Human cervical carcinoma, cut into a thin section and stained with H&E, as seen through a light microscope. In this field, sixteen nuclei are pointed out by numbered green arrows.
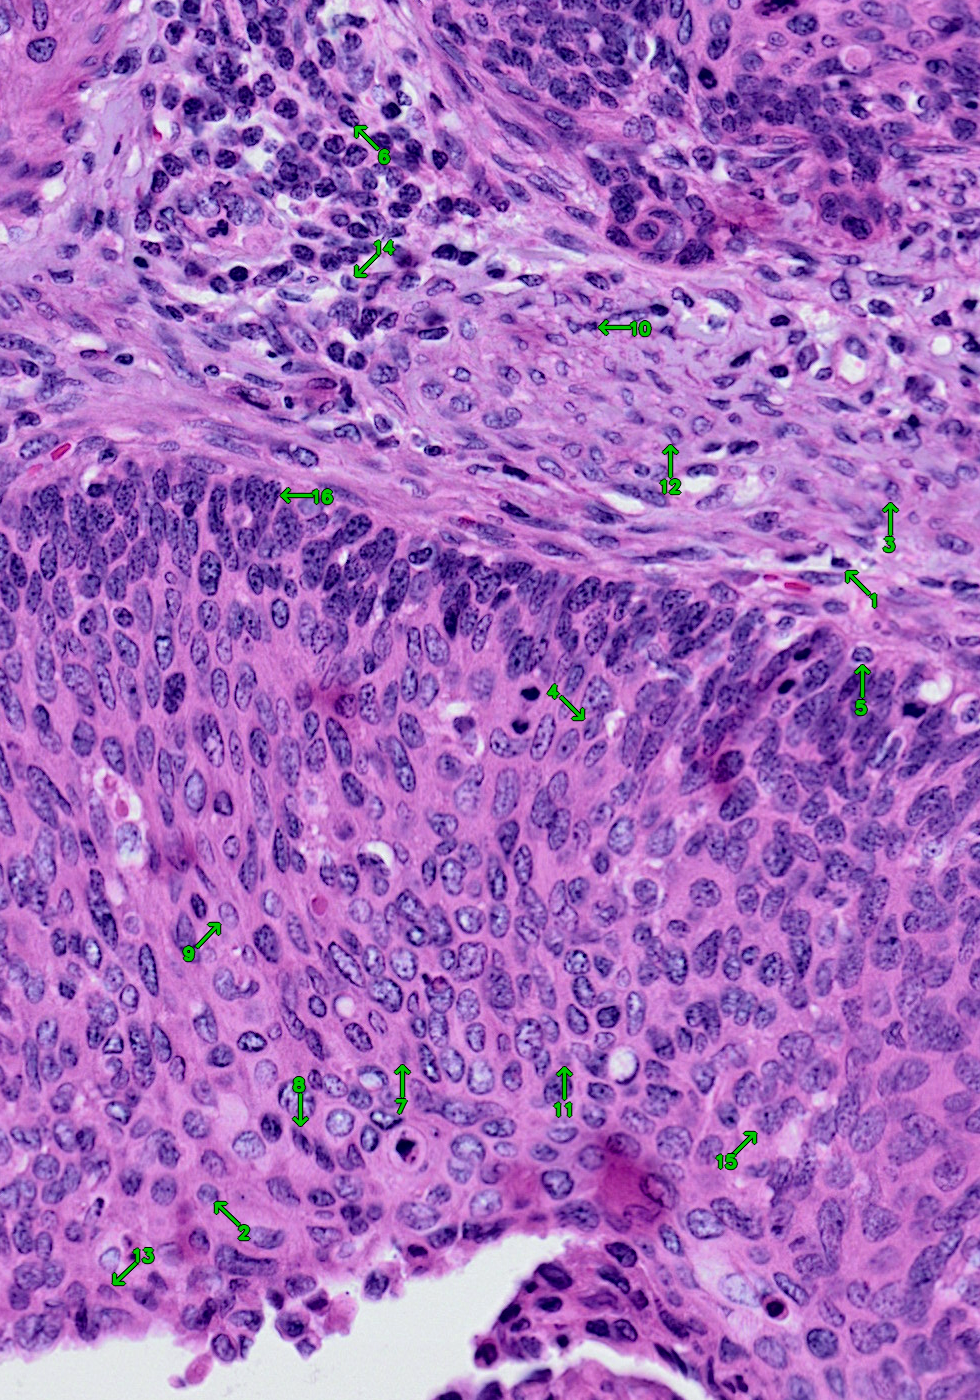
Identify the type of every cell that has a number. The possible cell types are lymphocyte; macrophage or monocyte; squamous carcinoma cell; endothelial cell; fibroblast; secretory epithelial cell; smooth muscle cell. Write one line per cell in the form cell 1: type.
cell 1: lymphocyte
cell 2: squamous carcinoma cell
cell 3: smooth muscle cell
cell 4: squamous carcinoma cell
cell 5: lymphocyte
cell 6: lymphocyte
cell 7: squamous carcinoma cell
cell 8: squamous carcinoma cell
cell 9: squamous carcinoma cell
cell 10: smooth muscle cell
cell 11: squamous carcinoma cell
cell 12: smooth muscle cell
cell 13: squamous carcinoma cell
cell 14: lymphocyte
cell 15: squamous carcinoma cell
cell 16: squamous carcinoma cell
